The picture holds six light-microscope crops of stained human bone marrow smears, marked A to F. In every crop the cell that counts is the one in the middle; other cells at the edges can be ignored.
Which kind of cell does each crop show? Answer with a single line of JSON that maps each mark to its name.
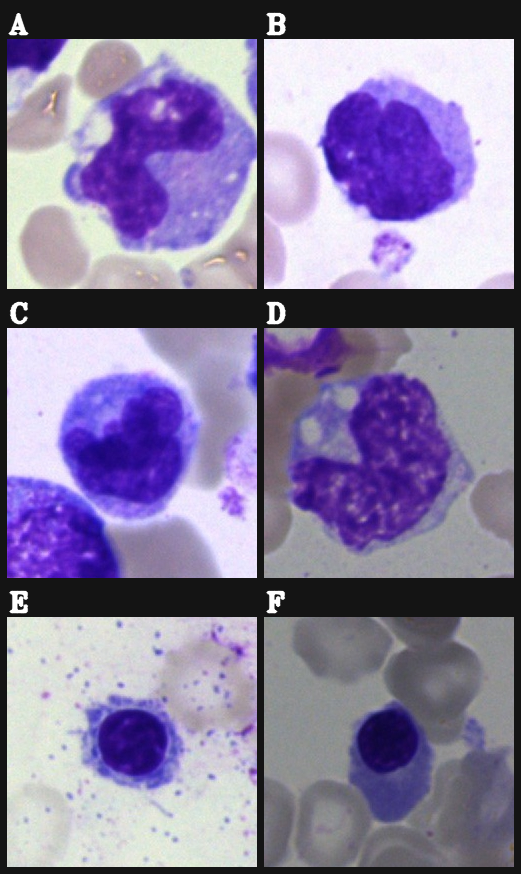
{"A": "monocyte", "B": "monocyte", "C": "monocyte", "D": "monocyte", "E": "erythroblast", "F": "erythroblast"}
